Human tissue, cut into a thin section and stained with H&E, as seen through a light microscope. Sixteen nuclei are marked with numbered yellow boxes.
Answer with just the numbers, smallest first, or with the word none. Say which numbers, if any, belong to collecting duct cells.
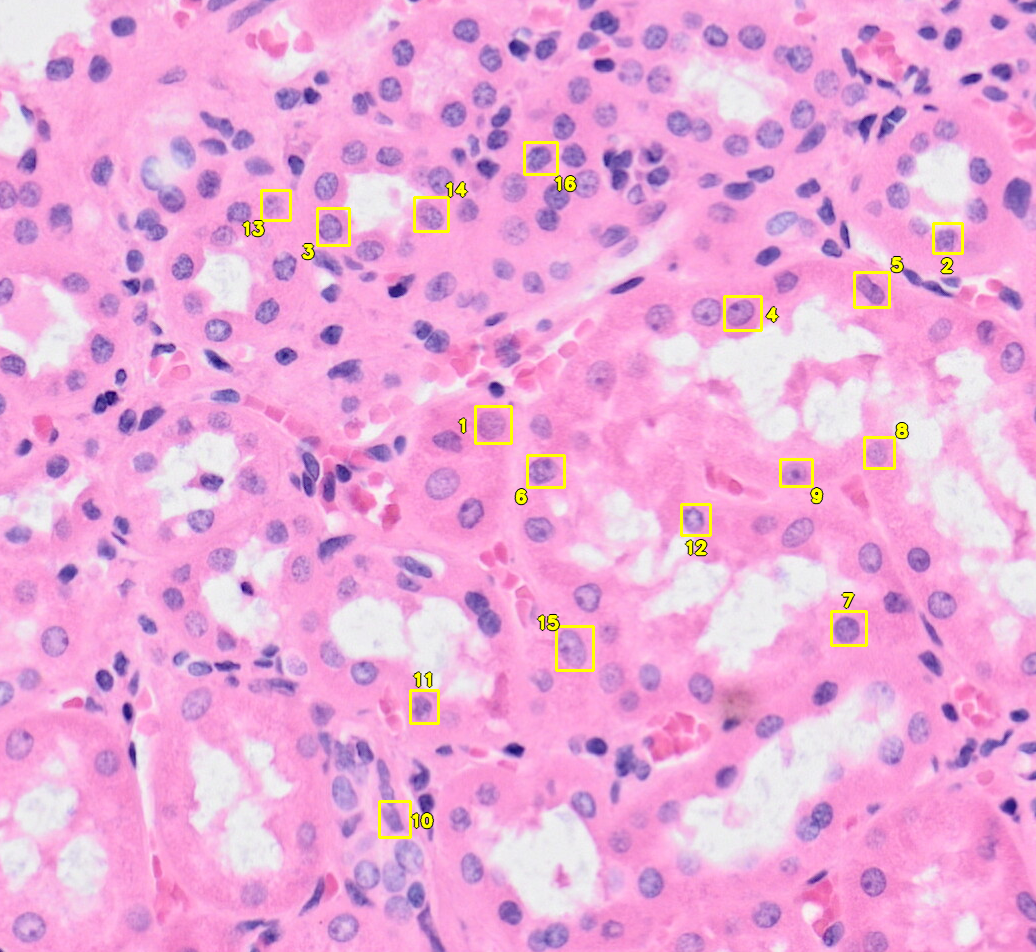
10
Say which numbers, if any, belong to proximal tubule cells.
1, 4, 5, 6, 7, 8, 9, 12, 15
